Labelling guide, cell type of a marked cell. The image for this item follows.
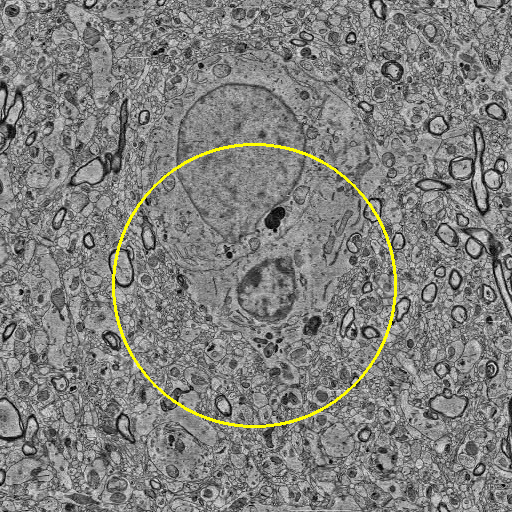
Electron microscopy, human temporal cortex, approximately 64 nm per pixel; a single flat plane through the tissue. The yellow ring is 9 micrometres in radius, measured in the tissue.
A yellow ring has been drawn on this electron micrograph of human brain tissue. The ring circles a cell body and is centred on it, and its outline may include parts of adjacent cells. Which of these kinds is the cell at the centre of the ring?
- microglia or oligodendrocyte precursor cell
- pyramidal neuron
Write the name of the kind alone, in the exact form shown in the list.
microglia or oligodendrocyte precursor cell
